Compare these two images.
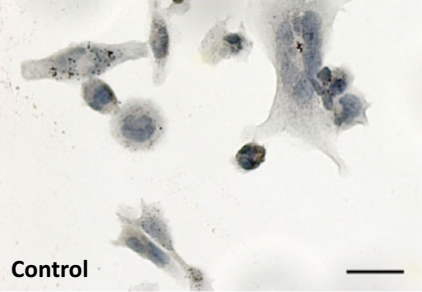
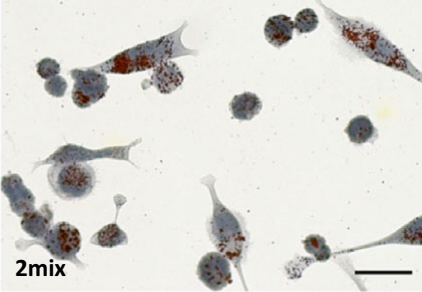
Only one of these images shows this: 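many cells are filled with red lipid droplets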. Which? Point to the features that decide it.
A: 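The second image. Second image: most cells contain numerous red-orange droplets in their cytoplasm. First image: the cells show pale grey-blue cytoplasm with at most a few dark specks and no clear red droplets.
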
